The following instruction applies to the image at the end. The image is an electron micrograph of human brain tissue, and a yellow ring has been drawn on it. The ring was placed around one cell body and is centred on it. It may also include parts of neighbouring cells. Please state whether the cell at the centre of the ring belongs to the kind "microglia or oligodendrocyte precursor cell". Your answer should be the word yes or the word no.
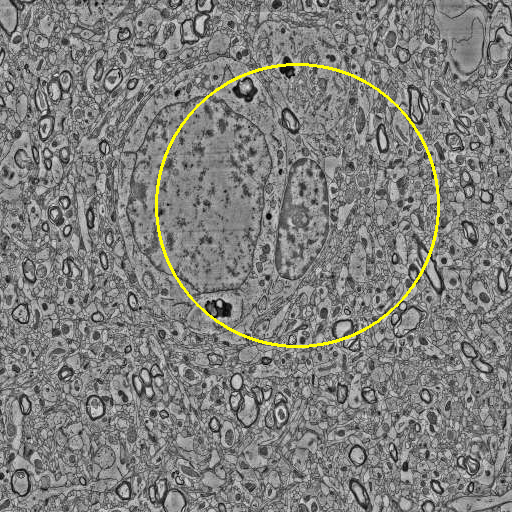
yes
